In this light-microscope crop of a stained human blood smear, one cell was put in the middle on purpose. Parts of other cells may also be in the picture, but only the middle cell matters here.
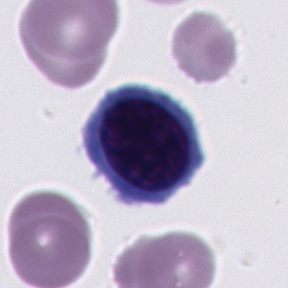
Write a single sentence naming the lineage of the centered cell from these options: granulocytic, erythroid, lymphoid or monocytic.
Lineage of the cell at the center of this crop: erythroid.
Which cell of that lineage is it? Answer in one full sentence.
Standing at the centre of this crop is a normoblast.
